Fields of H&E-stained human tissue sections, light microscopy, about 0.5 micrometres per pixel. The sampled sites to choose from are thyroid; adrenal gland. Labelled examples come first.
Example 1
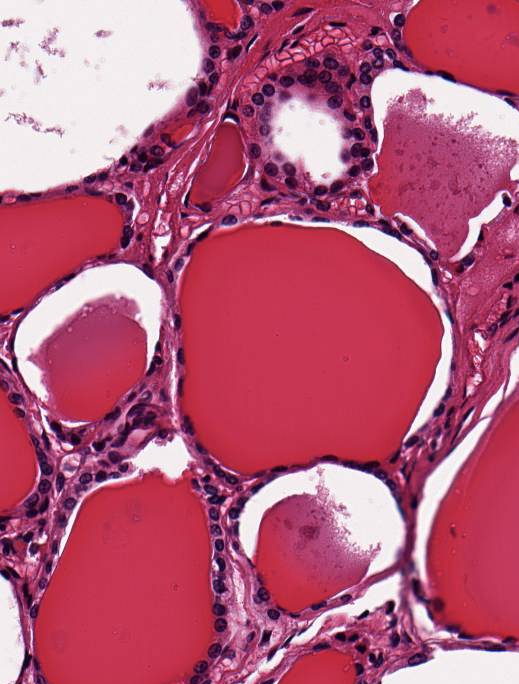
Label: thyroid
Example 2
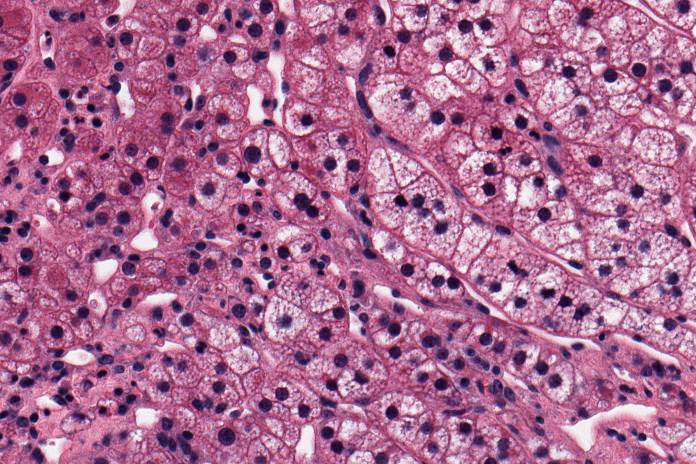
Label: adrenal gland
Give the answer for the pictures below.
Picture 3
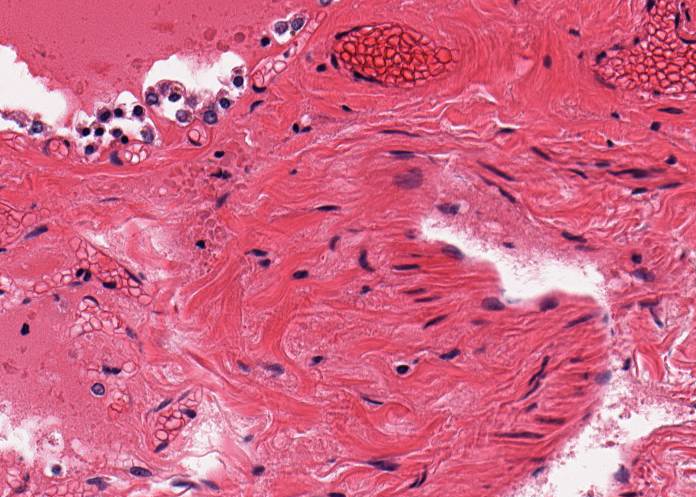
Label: thyroid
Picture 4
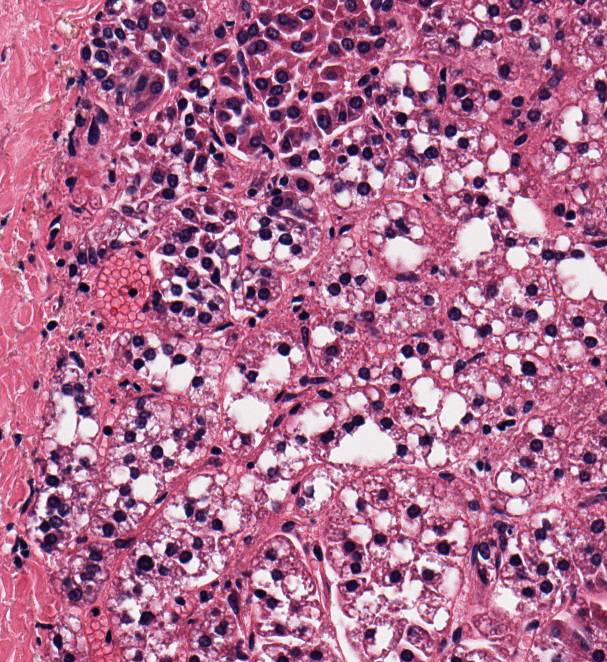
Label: adrenal gland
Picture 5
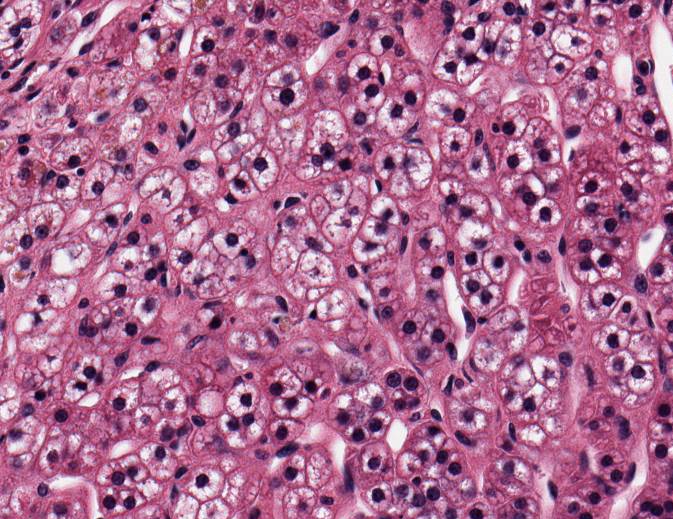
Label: adrenal gland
